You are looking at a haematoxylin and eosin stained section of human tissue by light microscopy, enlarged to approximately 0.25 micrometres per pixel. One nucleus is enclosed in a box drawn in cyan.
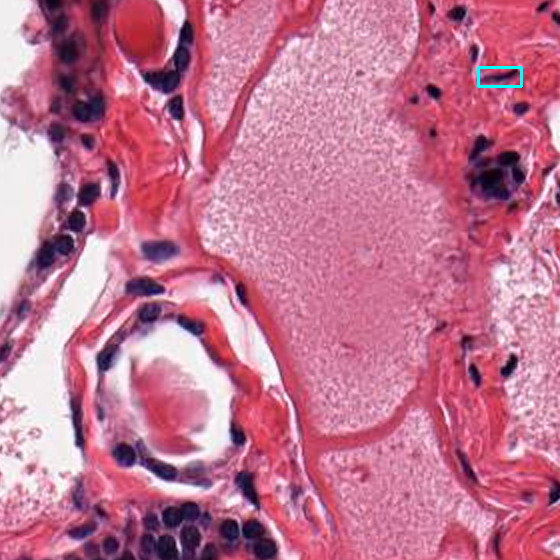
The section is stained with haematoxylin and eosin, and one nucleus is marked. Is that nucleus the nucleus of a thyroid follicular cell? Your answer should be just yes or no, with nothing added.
no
